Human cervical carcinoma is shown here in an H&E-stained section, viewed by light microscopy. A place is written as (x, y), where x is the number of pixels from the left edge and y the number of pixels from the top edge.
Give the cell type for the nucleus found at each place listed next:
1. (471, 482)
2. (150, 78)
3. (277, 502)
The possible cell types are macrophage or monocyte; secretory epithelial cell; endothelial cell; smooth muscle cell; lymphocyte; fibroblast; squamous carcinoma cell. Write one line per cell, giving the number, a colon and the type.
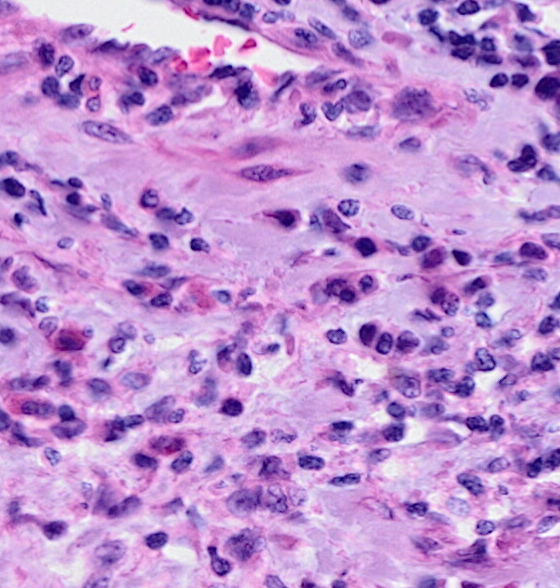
1: lymphocyte
2: lymphocyte
3: macrophage or monocyte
